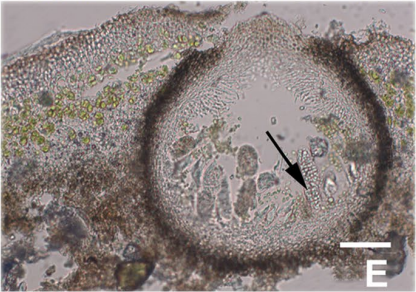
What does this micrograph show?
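A section through a lichen thallus shows a large round perithecium sunk into the tissue. Its wall is a thick dark brown ring, paler toward the top where it reaches the thallus surface. Within the cavity lie several elongated spore sacs and oblong septate ascospores in a loose pale matrix. To the left, above the perithecium, the thallus contains scattered small round green cells in a band below a pale upper layer, and the lower thallus is brownish and dense. The perithecium occupies most of the thallus thickness.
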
